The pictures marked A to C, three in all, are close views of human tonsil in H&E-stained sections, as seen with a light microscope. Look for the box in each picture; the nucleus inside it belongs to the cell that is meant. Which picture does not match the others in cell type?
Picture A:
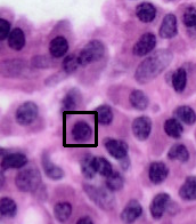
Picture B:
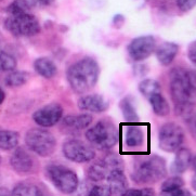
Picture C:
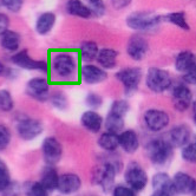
B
